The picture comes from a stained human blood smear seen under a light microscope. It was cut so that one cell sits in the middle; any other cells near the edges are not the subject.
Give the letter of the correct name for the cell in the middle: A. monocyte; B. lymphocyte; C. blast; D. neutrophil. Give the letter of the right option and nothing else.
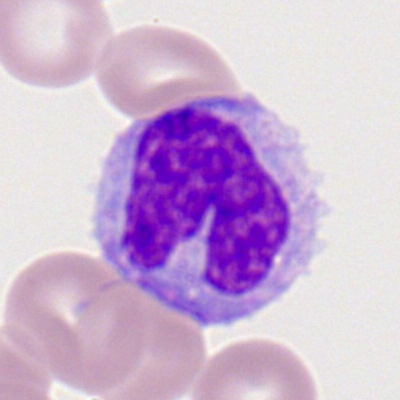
A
